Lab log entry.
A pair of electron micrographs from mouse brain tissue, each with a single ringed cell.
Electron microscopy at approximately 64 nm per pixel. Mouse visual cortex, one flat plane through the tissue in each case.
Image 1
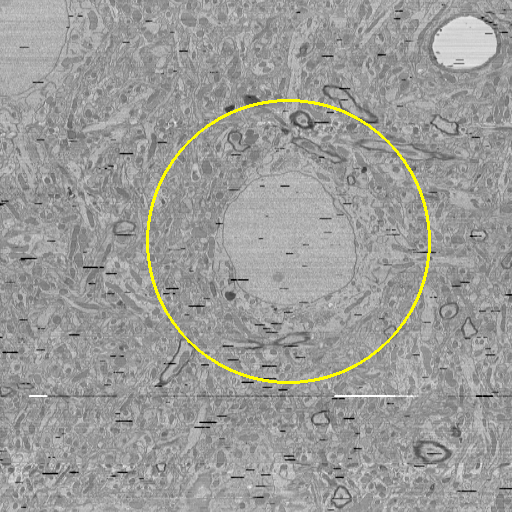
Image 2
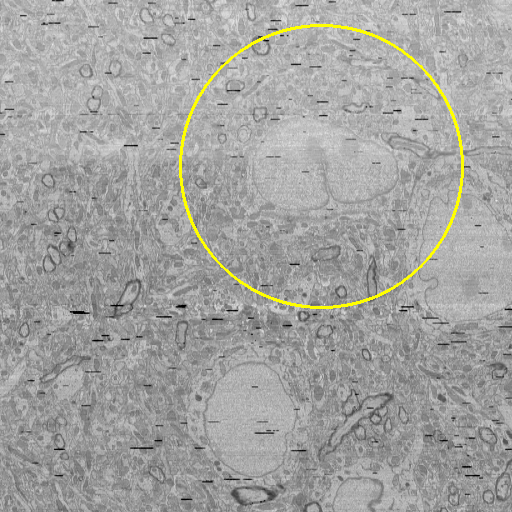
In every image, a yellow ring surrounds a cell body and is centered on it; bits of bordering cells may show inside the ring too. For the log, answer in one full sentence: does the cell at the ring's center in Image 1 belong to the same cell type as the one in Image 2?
No, the cells at the ring centers in Image 1 and Image 2 are of separate types.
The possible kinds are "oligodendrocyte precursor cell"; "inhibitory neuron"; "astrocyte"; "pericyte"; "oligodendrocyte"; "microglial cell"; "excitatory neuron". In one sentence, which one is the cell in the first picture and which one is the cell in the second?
The cell ringed in the second picture is an astrocyte, whereas the one ringed in the first is an excitatory neuron.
